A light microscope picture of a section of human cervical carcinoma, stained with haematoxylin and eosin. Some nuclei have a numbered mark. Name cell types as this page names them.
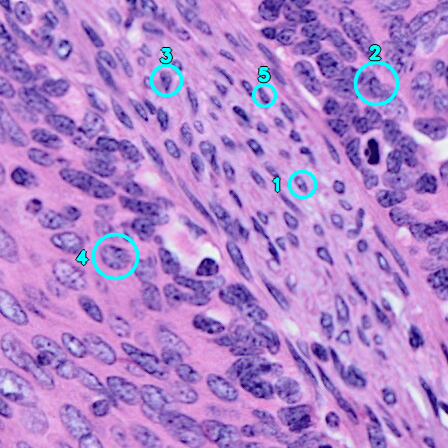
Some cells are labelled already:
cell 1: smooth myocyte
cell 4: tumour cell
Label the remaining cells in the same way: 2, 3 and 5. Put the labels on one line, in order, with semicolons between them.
tumour cell; smooth myocyte; smooth myocyte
